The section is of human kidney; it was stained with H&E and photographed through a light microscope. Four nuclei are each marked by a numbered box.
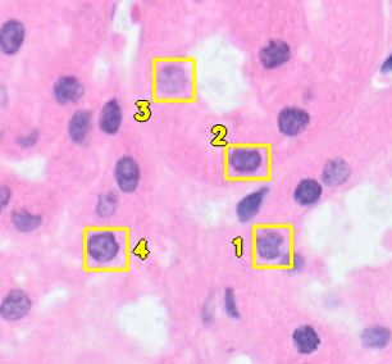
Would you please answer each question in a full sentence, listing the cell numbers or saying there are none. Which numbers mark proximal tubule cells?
In short, the numbered cells 2, 3 and 4 are proximal tubule cells.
